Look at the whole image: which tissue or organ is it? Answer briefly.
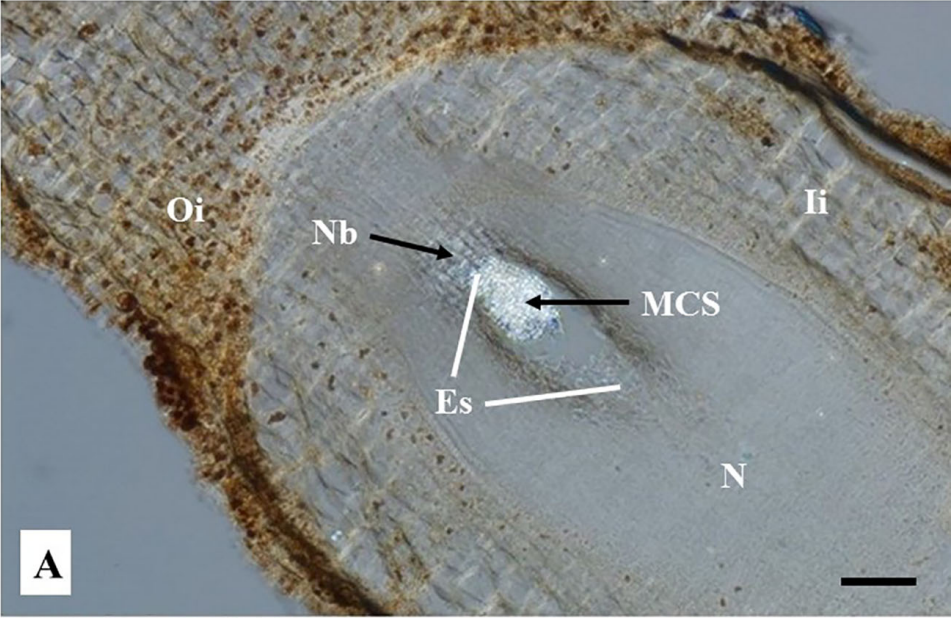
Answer: Ovule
